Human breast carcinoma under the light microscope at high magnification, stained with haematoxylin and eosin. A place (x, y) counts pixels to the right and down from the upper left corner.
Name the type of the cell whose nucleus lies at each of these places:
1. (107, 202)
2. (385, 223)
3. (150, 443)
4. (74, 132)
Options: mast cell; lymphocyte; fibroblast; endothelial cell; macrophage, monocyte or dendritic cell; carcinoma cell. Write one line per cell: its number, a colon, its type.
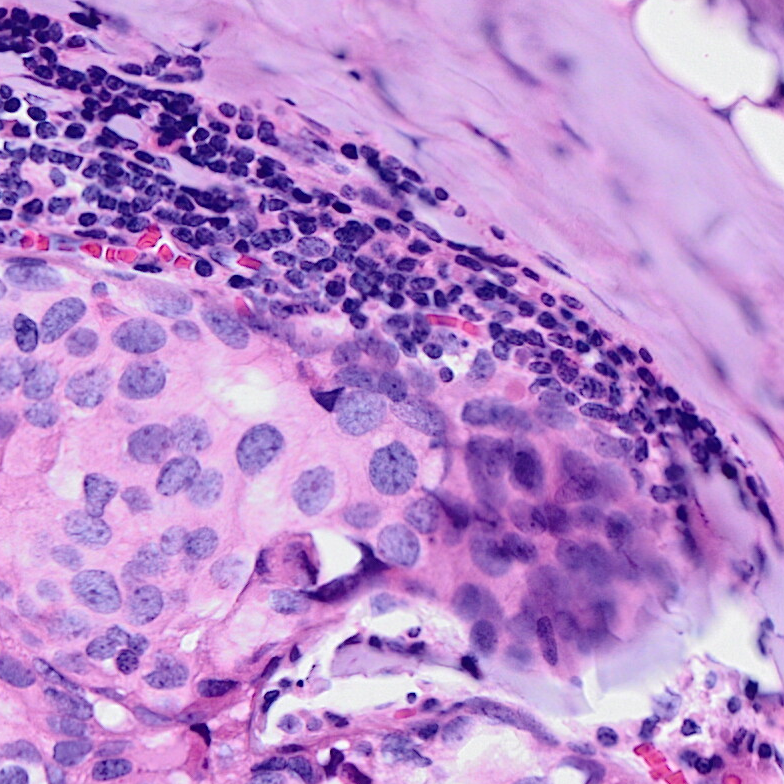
1: lymphocyte
2: lymphocyte
3: carcinoma cell
4: lymphocyte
